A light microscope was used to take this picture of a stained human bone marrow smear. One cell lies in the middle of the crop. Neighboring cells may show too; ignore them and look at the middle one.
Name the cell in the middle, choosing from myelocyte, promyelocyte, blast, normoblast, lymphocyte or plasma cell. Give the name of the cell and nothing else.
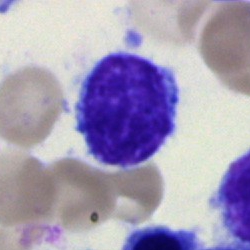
lymphocyte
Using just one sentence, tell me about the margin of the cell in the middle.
Seen at its edge, the cell is not smooth but ragged or projecting.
